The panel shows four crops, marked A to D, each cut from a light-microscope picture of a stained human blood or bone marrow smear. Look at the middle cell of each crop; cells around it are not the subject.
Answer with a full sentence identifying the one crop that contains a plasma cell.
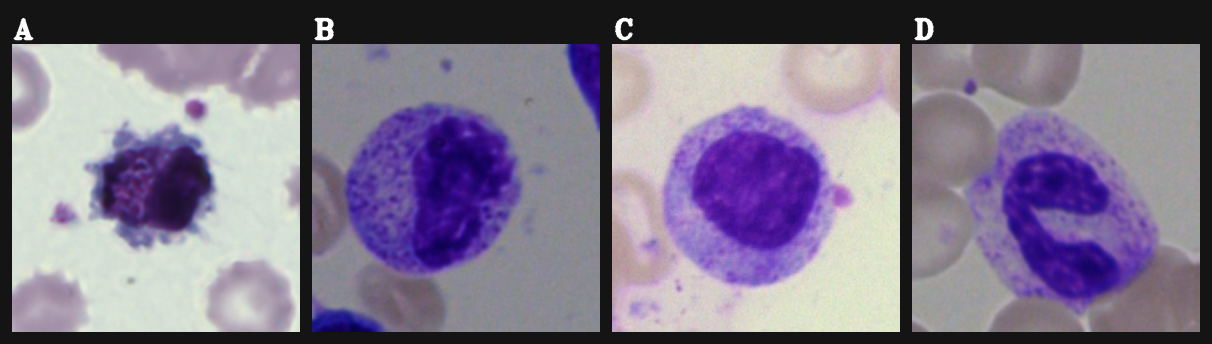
Of all the crops, crop A is the one showing a plasma cell.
